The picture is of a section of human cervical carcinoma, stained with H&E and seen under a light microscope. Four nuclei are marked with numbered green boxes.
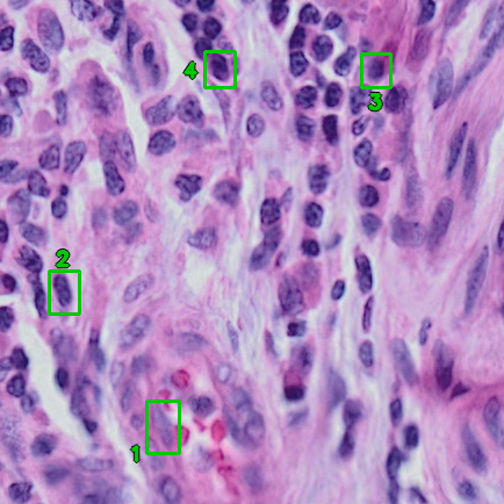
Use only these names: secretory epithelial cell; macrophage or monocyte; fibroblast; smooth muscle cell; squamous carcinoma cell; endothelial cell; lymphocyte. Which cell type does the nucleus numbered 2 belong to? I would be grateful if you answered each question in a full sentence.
The numbered cell 2 is identified here as a lymphocyte.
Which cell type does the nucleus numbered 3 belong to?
The cell carrying label 3 is identified as a lymphocyte.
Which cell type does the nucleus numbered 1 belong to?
The marked cell with the number 1 is recognised as an endothelial cell.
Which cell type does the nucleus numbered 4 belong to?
The mark numbered 4 indicates the nucleus of a lymphocyte.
